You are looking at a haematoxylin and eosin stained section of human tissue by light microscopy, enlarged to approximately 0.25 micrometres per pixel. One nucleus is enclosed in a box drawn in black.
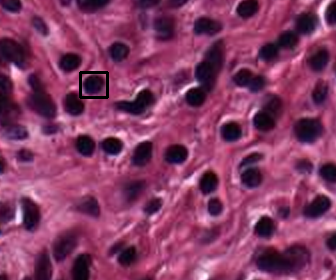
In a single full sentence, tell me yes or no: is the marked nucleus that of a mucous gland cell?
No, the owner of the marked nucleus is a supporting cell, not a mucous gland cell.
